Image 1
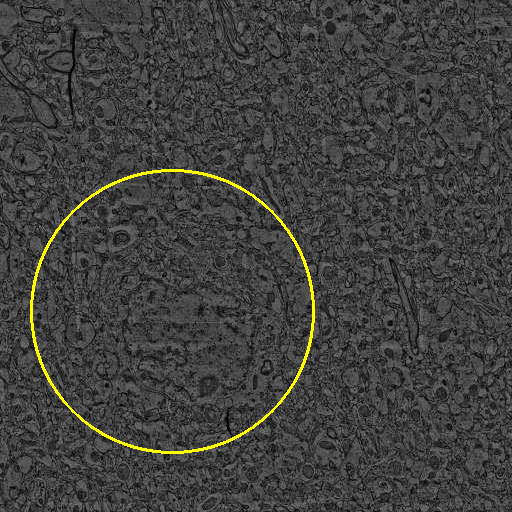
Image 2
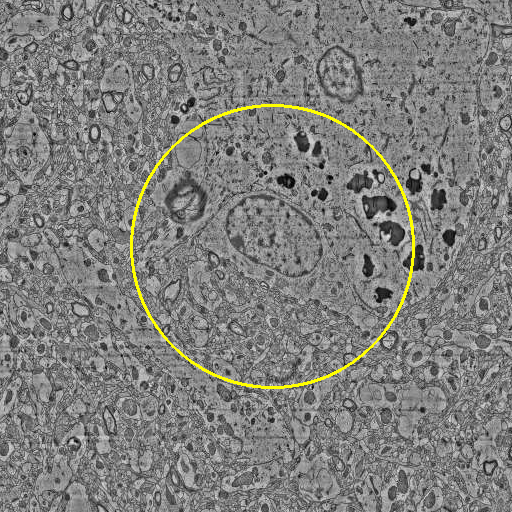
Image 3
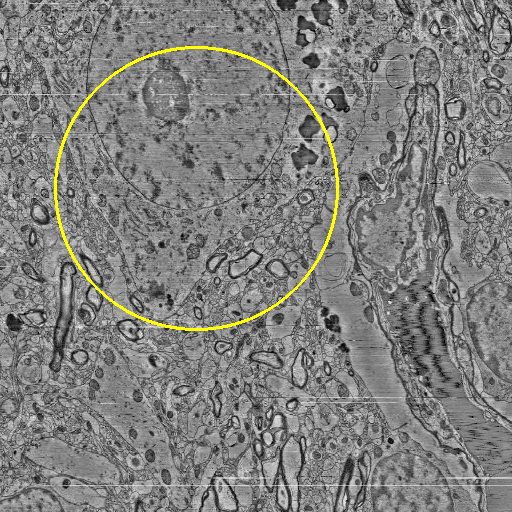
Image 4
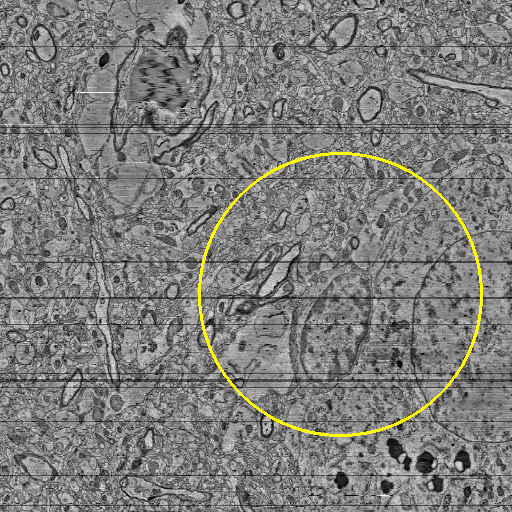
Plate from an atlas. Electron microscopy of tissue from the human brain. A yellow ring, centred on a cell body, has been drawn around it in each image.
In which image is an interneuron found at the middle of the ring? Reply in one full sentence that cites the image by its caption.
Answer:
The requested cell is the one at the ring's centre in Image 1.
